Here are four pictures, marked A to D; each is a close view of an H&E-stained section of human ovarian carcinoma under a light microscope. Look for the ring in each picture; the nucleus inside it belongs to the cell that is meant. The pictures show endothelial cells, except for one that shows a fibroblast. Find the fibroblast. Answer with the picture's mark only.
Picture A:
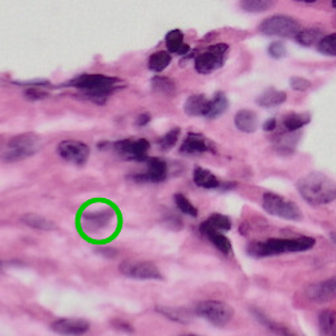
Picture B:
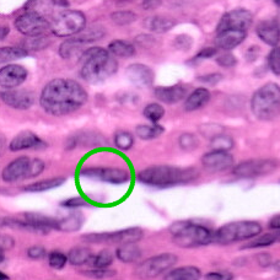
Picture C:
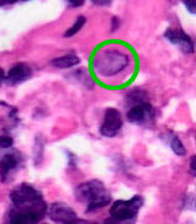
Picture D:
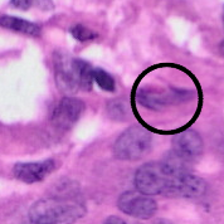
A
